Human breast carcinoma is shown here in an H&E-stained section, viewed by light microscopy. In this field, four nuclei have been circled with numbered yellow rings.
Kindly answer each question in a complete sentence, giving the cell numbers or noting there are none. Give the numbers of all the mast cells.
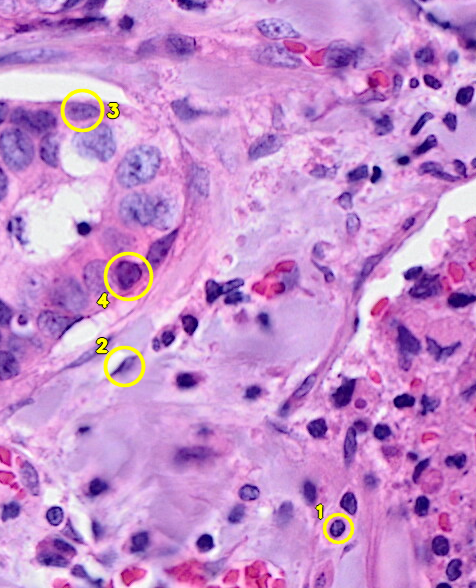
Only the nucleus marked 1 is that of a mast cell.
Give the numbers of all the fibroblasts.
Cell 2 is a fibroblast; every other numbered cell is something else.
